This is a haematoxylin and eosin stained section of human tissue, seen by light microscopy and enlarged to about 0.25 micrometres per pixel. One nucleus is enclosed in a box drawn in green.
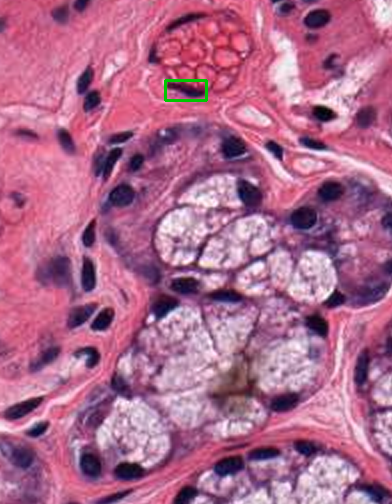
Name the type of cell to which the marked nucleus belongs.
endothelial cell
